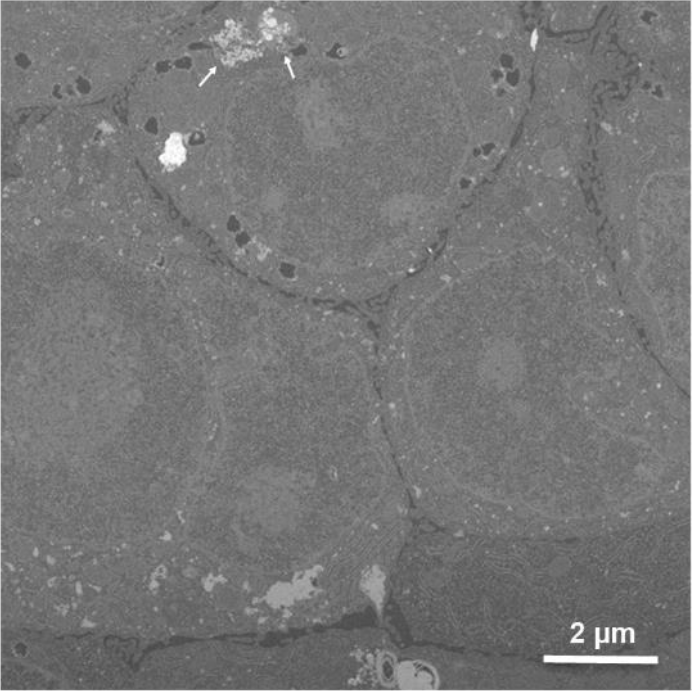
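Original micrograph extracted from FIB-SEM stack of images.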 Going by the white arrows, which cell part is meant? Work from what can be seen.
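These compartments lie in the cytoplasm beside a large round nucleus.
Endo-lysosomes.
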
